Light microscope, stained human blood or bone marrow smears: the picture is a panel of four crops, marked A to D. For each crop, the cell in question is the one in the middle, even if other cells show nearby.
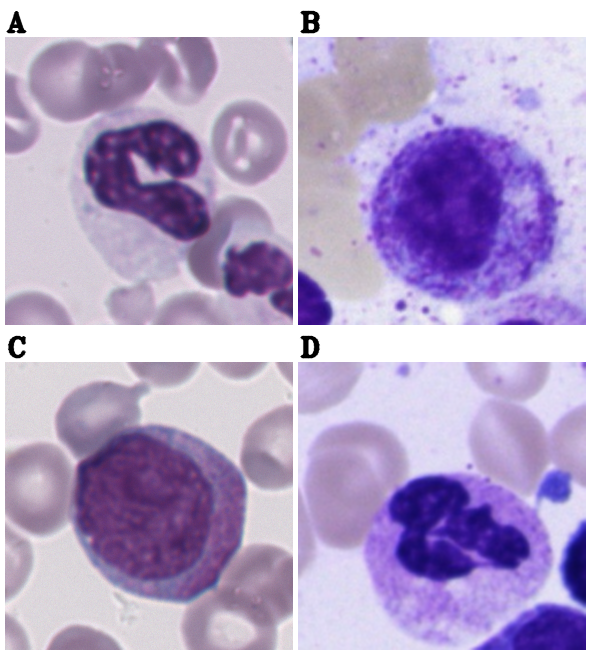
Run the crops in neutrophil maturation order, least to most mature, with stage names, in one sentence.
The order of maturity, beginning with the least mature, is crop C (a promyelocyte), crop B (a myelocyte), crop A (a band neutrophil) and crop D (a segmented neutrophil).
